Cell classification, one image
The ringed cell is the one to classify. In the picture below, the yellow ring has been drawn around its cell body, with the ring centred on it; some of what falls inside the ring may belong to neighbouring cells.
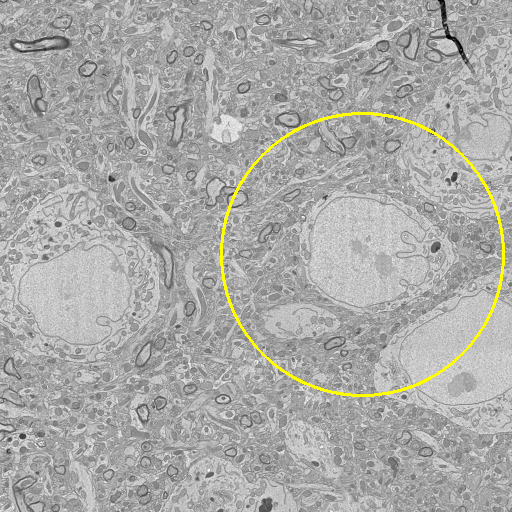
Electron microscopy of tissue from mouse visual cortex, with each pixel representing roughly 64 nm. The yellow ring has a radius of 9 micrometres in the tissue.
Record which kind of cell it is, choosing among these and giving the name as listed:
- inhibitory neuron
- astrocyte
inhibitory neuron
